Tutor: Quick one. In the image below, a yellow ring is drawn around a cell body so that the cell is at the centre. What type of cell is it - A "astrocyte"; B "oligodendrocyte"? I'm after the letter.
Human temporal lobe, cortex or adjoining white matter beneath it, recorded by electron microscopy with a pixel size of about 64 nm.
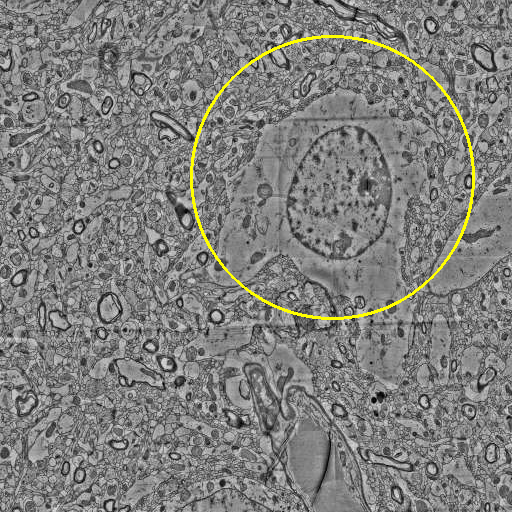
A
